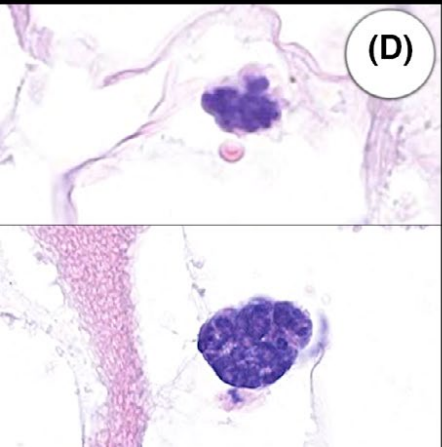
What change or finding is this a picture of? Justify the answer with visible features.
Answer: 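Stripped cytoplasm. The lobulated nuclei have little or no surrounding cytoplasm.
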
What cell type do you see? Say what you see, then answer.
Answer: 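Large cells with a multilobed, clumped purple nucleus. Cells lie singly within a pale fibrous background. Nuclei are much larger than the nearby red blood cell.
Hence: Megakaryocytes.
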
